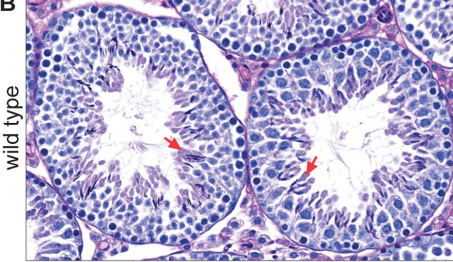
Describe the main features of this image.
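Cross-sections of seminiferous tubules show a thick, many-layered germinal epithelium with cells at all stages of sperm formation. Round-nucleated cells sit near the basement membrane, larger cells with coarse nuclei occupy the middle layers, and toward the lumen lie numerous spermatids, many with elongated, dark, slender heads pointing into the central lumen, where pale pink tails gather. Nuclei stain blue-purple and the surrounding material pinkish. Narrow interstitial spaces between tubules contain a few flattened cells. The epithelium is compact, orderly and without holes.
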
